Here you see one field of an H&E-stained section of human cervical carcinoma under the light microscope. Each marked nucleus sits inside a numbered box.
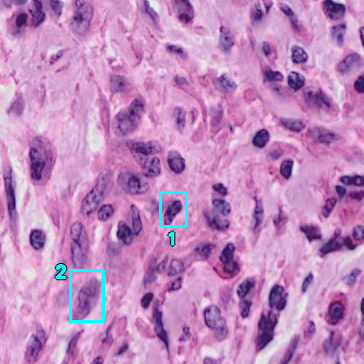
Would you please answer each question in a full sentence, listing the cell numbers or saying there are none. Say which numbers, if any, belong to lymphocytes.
Among the numbered cells, the one that is a lymphocyte is cell 1 alone.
